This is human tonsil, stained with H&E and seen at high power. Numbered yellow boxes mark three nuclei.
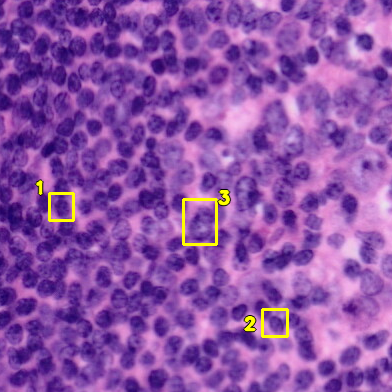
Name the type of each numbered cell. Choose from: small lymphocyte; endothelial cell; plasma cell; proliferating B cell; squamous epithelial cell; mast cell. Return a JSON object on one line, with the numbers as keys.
{"1": "small lymphocyte", "2": "small lymphocyte", "3": "proliferating B cell"}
